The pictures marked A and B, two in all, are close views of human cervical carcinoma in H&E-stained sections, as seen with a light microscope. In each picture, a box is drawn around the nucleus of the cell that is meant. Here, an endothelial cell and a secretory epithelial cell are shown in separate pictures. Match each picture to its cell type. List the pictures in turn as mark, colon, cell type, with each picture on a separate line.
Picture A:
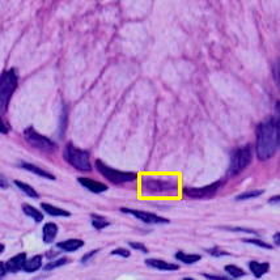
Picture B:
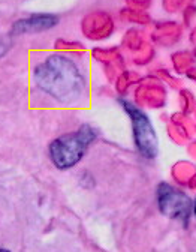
A: secretory epithelial cell
B: endothelial cell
